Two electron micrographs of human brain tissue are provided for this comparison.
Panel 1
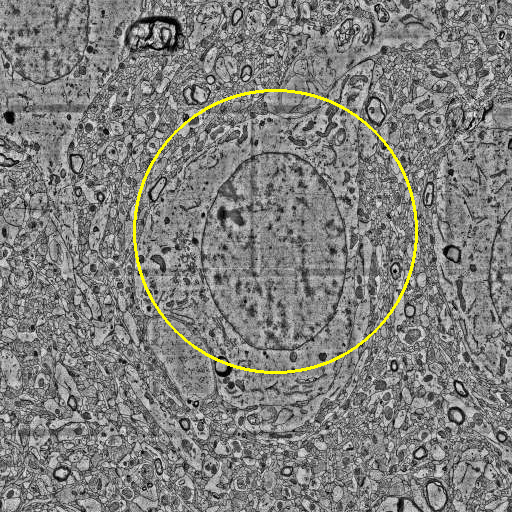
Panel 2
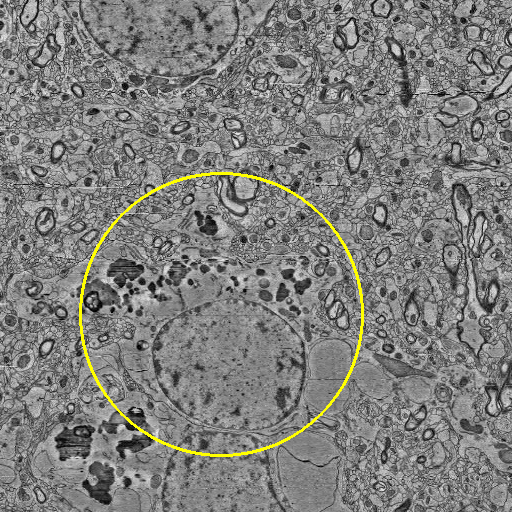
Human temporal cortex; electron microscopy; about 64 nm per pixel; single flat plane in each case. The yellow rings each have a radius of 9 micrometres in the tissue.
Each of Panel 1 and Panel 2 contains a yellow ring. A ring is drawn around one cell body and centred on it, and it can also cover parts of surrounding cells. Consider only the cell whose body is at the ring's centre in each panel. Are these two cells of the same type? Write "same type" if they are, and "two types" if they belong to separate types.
two types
